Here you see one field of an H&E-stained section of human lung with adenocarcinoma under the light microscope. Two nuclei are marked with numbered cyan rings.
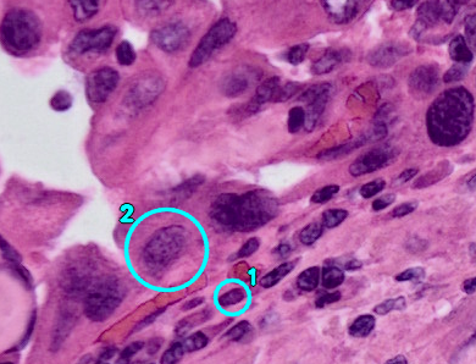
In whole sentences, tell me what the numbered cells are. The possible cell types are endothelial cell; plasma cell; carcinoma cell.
Cell 1 is a plasma cell. Cell 2 is a carcinoma cell.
